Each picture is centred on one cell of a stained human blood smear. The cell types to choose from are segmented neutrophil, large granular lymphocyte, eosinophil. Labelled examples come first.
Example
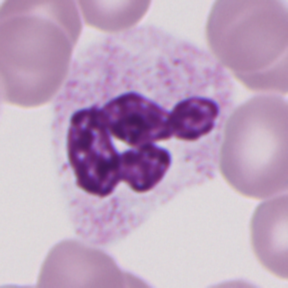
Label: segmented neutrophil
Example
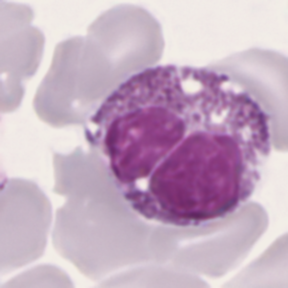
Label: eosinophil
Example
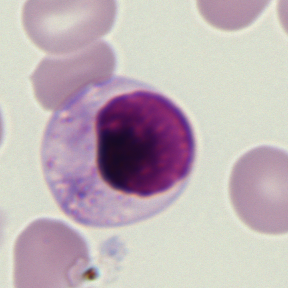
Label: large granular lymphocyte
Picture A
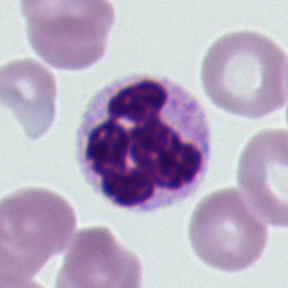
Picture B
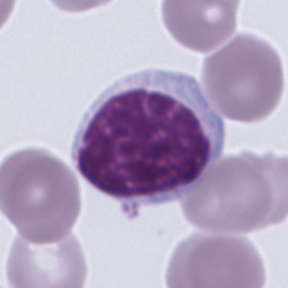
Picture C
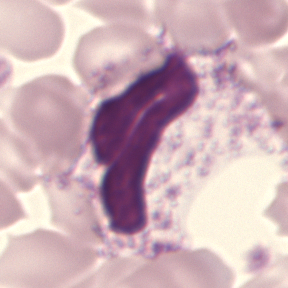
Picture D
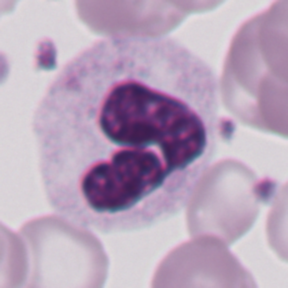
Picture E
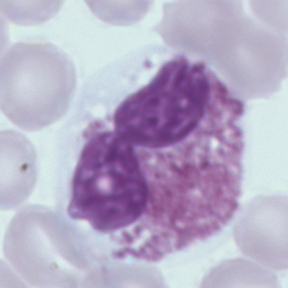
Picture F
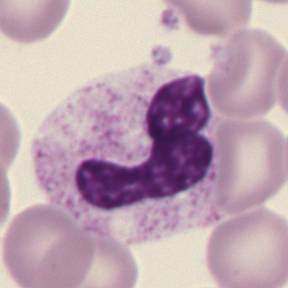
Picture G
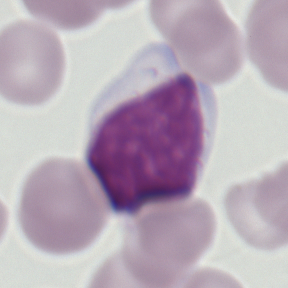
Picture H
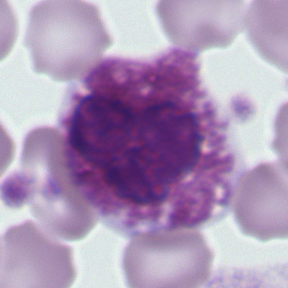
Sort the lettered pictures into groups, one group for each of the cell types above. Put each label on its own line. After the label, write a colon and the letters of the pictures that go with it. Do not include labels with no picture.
segmented neutrophil: A, C, D, F
large granular lymphocyte: B, G
eosinophil: E, H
